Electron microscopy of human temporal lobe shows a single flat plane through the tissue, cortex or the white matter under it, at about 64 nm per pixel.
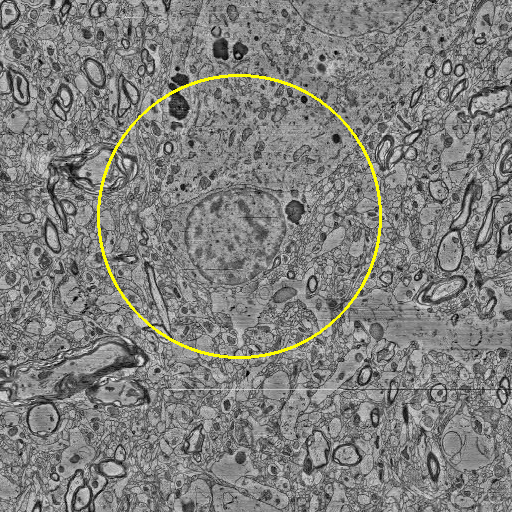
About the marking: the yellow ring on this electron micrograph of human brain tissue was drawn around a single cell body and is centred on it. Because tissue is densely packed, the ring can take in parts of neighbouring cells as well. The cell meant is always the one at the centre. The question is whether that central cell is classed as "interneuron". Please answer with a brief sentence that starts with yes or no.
No, the central cell belongs to another class.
